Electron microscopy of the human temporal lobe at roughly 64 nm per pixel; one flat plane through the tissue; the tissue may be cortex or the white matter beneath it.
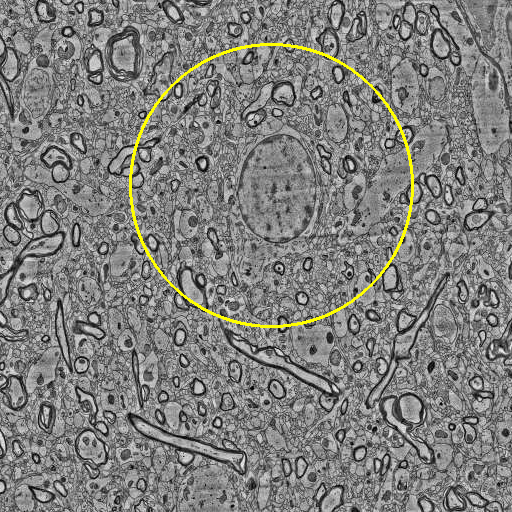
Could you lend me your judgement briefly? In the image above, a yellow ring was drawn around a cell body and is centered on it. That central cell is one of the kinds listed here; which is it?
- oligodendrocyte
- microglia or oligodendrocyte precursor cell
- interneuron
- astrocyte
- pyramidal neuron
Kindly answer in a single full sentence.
Going by the list, a microglial cell or oligodendrocyte precursor cell is the kind at the ring's center in the picture.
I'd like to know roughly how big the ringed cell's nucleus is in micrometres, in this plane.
About 7 micrometres by about 6 micrometres in this plane.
